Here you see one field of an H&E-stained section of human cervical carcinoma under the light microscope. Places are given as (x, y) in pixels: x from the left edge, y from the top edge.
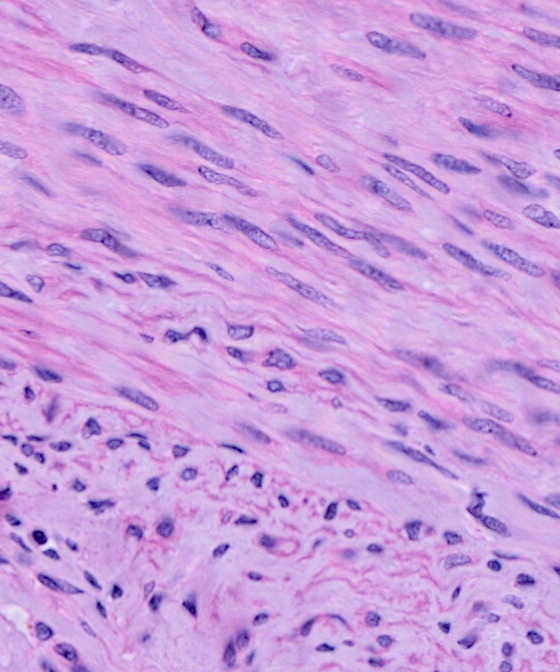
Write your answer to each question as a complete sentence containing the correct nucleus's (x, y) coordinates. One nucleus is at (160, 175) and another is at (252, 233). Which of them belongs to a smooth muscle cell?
Of the two nuclei, the one at (252, 233) belongs to a smooth muscle cell.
